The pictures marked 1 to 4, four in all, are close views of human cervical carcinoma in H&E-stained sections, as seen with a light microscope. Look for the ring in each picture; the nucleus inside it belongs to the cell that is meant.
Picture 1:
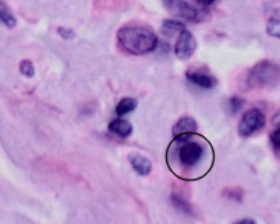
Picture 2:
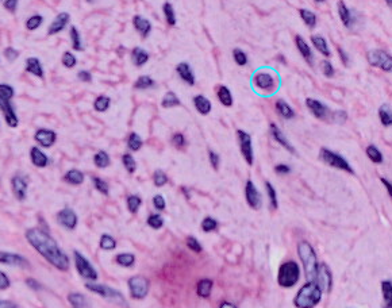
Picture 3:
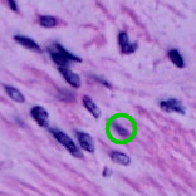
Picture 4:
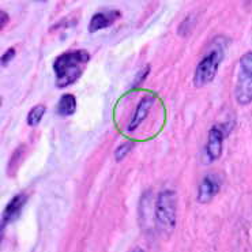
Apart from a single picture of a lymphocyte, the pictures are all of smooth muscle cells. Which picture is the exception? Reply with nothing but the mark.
1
